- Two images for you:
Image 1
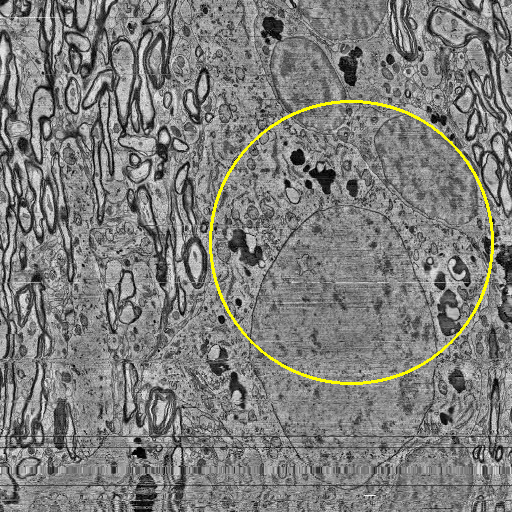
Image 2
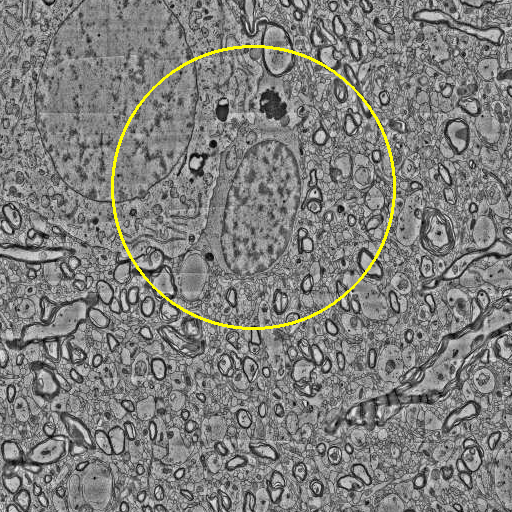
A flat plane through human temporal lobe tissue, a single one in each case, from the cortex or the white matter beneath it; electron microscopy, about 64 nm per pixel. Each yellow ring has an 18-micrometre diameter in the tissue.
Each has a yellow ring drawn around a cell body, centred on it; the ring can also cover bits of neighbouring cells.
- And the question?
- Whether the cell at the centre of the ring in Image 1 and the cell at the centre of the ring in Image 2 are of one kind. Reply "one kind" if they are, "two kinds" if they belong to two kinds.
two kinds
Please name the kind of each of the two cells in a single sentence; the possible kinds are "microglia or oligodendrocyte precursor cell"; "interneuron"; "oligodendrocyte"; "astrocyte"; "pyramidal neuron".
In the first picture the ring is centred on a pyramidal neuron, and in the second on an oligodendrocyte.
